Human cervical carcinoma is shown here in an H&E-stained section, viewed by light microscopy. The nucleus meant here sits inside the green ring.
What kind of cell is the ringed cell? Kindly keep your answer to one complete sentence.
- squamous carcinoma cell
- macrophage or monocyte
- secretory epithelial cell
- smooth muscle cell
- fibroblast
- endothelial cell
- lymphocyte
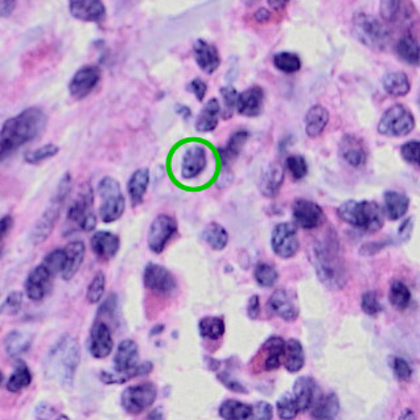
On this particular slide, the ringed cell is a lymphocyte.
